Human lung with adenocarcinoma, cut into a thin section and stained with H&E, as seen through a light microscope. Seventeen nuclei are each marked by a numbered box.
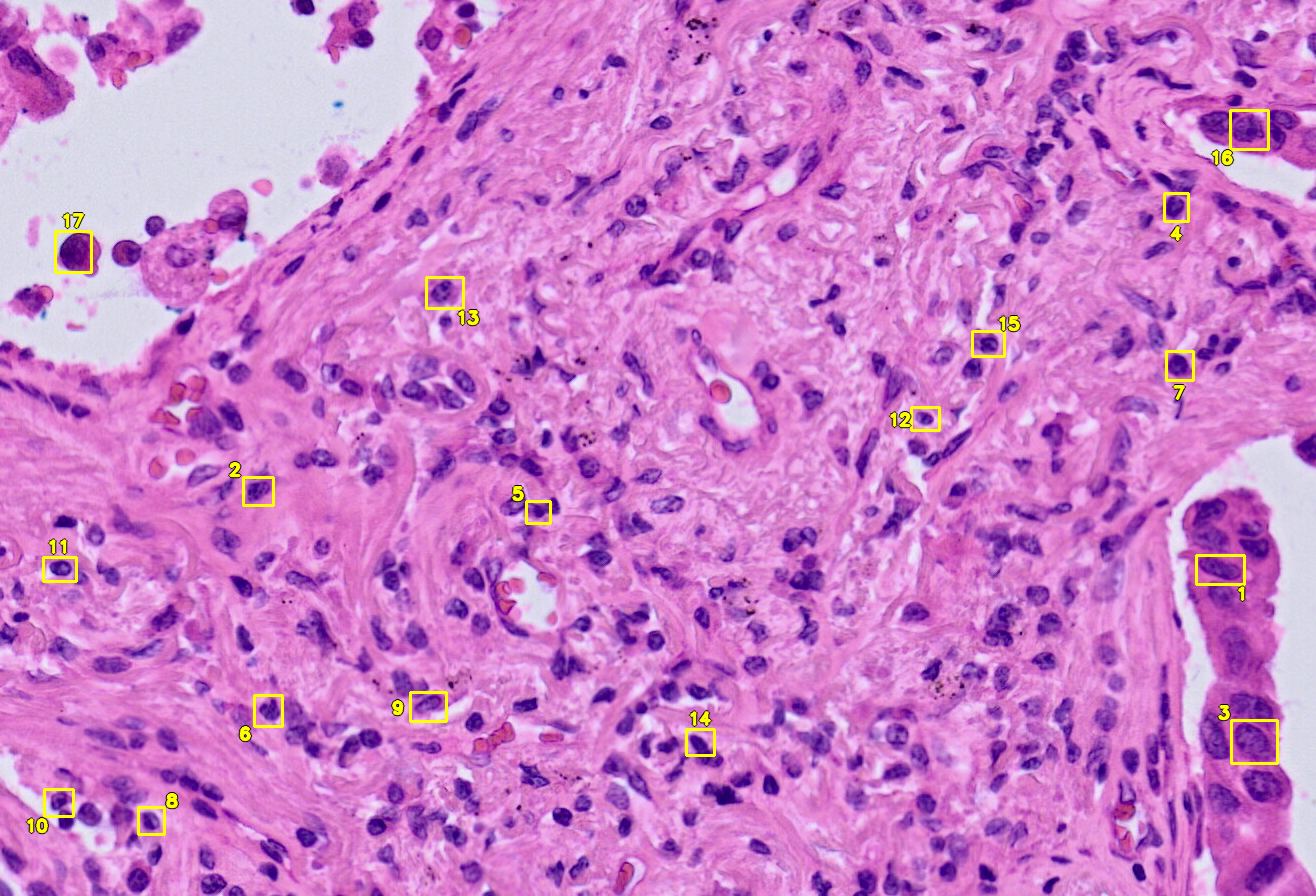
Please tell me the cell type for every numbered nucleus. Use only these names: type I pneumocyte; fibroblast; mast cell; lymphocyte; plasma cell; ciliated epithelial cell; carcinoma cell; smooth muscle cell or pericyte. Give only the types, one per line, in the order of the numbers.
carcinoma cell
plasma cell
carcinoma cell
plasma cell
lymphocyte
lymphocyte
plasma cell
lymphocyte
plasma cell
lymphocyte
lymphocyte
lymphocyte
plasma cell
lymphocyte
plasma cell
carcinoma cell
carcinoma cell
